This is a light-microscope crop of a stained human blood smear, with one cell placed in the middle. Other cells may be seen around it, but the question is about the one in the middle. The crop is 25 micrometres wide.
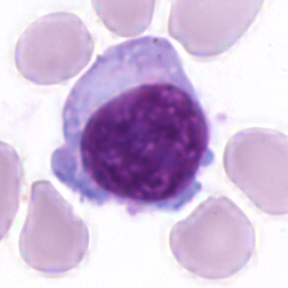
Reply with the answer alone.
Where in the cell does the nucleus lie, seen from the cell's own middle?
lower right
